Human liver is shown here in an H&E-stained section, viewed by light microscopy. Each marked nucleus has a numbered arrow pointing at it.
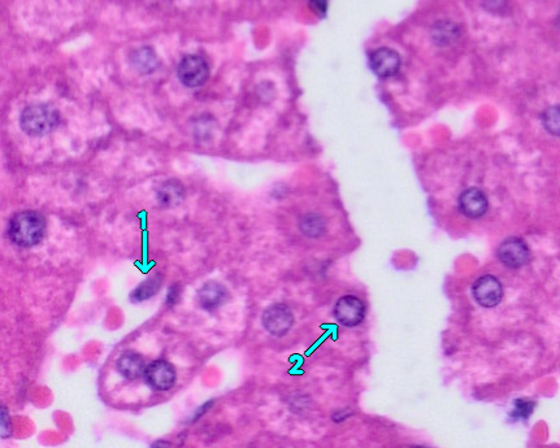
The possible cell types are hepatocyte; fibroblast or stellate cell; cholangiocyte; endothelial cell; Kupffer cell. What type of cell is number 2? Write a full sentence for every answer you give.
The cell carrying label 2 is identified as a hepatocyte.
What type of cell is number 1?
The cell indicated by marker 1 is a Kupffer cell in this section.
